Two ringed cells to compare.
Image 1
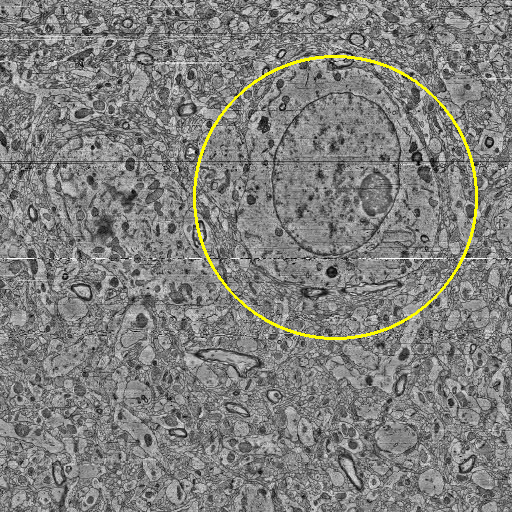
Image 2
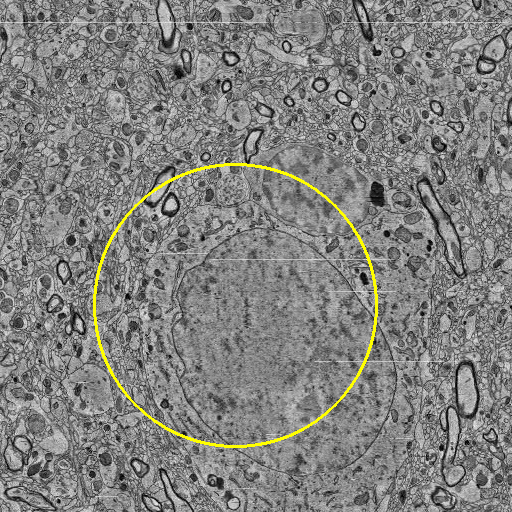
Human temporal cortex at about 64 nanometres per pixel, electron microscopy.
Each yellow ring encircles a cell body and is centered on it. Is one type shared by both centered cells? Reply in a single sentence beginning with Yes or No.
Yes, a single type is shared by the two cells at the centers of the rings.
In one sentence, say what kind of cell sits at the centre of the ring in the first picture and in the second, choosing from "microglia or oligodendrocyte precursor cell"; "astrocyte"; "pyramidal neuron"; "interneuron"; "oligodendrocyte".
Both rings mark a pyramidal neuron, one in each picture.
